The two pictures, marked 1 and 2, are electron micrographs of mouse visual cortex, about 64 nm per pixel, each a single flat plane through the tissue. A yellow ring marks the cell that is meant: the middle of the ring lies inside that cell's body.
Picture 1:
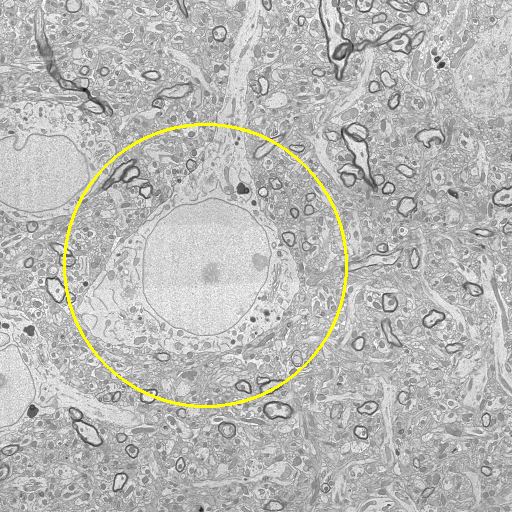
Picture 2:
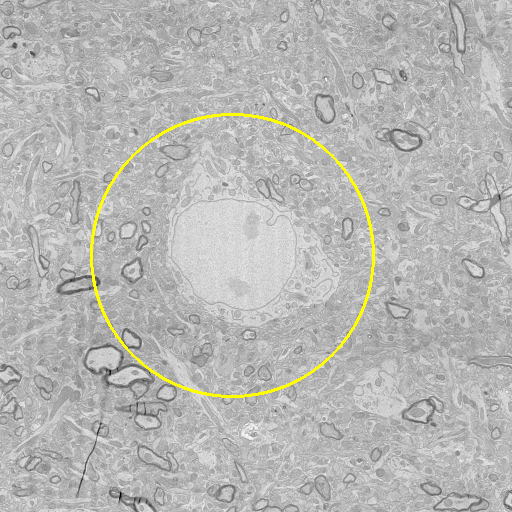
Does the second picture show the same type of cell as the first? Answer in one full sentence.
Yes, both are excitatory neurons.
